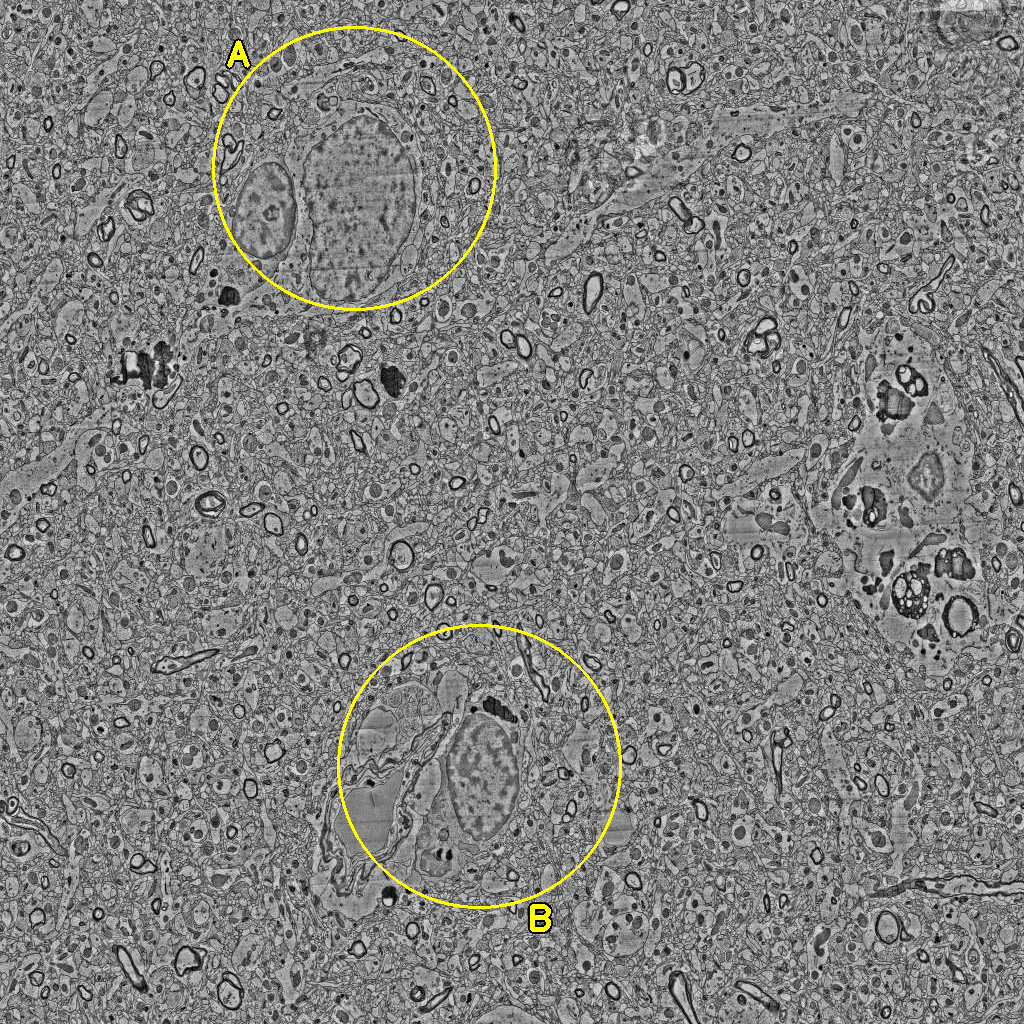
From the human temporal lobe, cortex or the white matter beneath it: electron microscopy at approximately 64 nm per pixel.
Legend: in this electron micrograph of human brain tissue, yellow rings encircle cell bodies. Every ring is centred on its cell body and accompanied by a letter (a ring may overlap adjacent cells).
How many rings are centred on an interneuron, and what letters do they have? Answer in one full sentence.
Only one ring in the micrograph is centred on an interneuron, and its letter is A.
